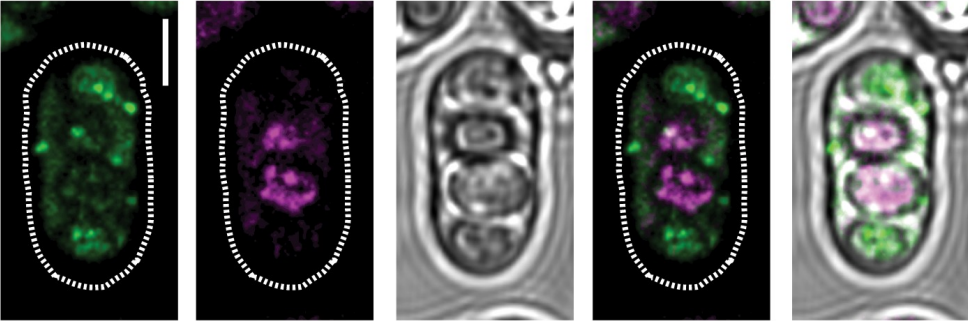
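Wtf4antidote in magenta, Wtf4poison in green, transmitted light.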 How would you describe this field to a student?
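A yeast tetrad: an elongated ascus with four spores in a row. Magenta fluorescence fills the two middle spores, whereas green is spread more widely through the ascus with several small bright dots, and the outer spores are mainly green.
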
